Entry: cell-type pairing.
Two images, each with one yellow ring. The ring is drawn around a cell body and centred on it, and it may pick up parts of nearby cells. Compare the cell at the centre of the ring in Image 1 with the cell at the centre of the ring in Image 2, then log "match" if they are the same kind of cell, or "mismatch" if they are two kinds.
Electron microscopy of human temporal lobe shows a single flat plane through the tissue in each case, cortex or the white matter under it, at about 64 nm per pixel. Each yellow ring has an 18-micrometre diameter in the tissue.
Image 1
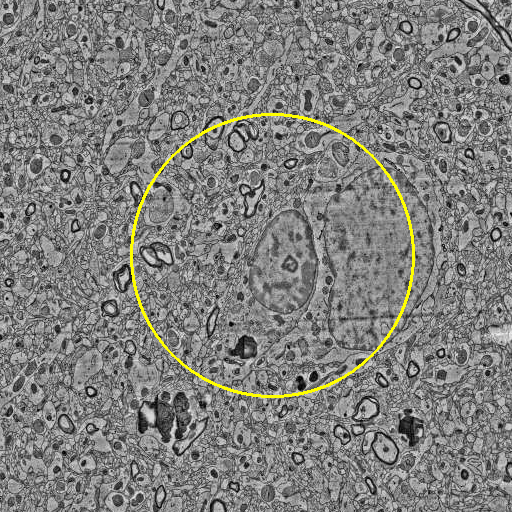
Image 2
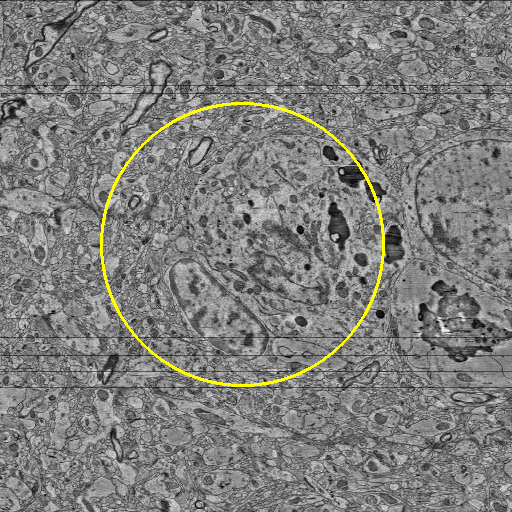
mismatch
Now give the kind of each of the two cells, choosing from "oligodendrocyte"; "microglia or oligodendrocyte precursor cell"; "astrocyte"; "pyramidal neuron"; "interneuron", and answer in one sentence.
The cell in the first picture is an oligodendrocyte, and the cell in the second is an interneuron.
